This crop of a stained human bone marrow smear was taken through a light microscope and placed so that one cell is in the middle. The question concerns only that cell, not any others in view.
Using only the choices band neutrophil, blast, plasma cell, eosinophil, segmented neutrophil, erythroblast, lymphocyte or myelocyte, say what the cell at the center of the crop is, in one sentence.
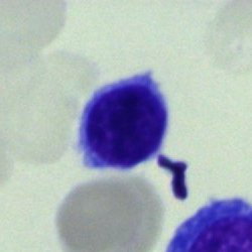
Here the centrally located cell is a lymphocyte.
